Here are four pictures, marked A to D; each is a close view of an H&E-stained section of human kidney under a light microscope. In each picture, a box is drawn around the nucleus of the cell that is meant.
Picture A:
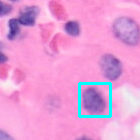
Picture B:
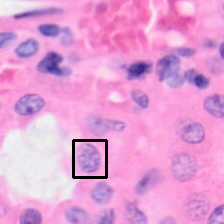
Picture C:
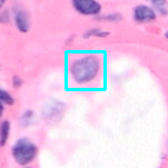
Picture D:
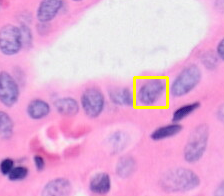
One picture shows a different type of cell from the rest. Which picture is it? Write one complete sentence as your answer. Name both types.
The others show “loop of Henle or distal tubule cells”, but picture D shows a collecting duct cell.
